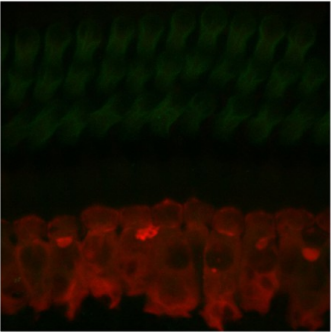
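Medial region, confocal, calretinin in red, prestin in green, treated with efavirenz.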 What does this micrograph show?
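This surface view of a whole mount of the organ of Corti shows rows of outer hair cells in the upper part and a band of red-filled cells below. The green outlining the outer hair cells is faint and blurred, so the edges of the individual cells are hard to make out. The cells still lie in parallel rows across the image.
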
